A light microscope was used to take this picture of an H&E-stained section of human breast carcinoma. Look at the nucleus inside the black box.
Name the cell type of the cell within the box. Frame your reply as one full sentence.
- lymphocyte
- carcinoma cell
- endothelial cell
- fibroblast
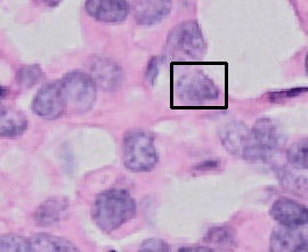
The category to which the cell within the box belongs is that of a carcinoma cell.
